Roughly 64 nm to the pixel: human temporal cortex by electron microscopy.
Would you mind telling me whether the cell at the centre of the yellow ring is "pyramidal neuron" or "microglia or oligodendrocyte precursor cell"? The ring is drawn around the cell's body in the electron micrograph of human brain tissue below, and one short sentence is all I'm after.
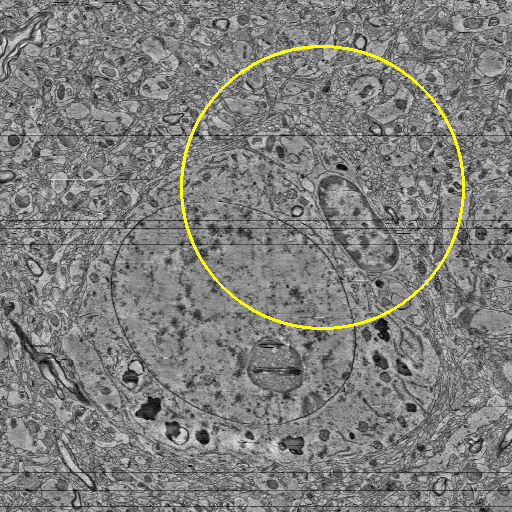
In the centre of the ring lies a microglial cell or oligodendrocyte precursor cell.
